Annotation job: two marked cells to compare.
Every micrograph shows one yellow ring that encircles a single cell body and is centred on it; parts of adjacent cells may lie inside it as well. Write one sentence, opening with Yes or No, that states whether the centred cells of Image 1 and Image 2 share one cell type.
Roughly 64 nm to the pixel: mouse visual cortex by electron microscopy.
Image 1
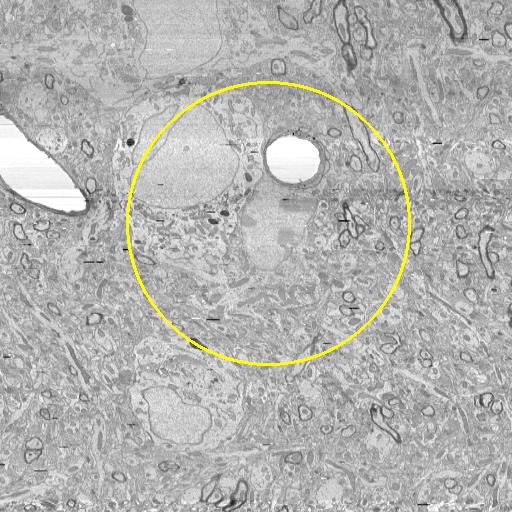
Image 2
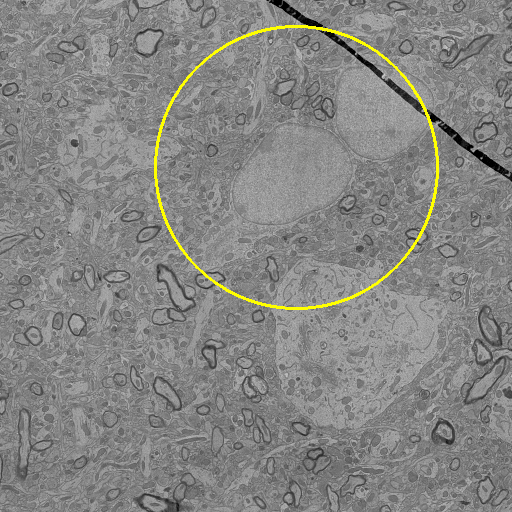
Yes, the cell centred in Image 1 shares its type with the cell centred in Image 2.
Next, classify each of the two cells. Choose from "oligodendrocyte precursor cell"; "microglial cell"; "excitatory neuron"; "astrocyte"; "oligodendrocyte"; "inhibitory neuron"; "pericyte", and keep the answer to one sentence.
Each of the two cells is an astrocyte.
